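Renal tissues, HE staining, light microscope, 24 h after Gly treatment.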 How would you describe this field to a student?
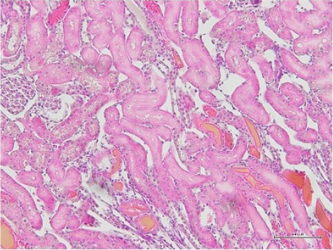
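This is kidney tissue in which the tubules look damaged, with a glomerulus at the left edge. Several lumens are filled with bright orange-red, homogeneous material forming casts. The spaces between tubules are widened and the normal tight packing of the tubules is lost. These changes fit tubular injury with epithelial necrosis and desquamation.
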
